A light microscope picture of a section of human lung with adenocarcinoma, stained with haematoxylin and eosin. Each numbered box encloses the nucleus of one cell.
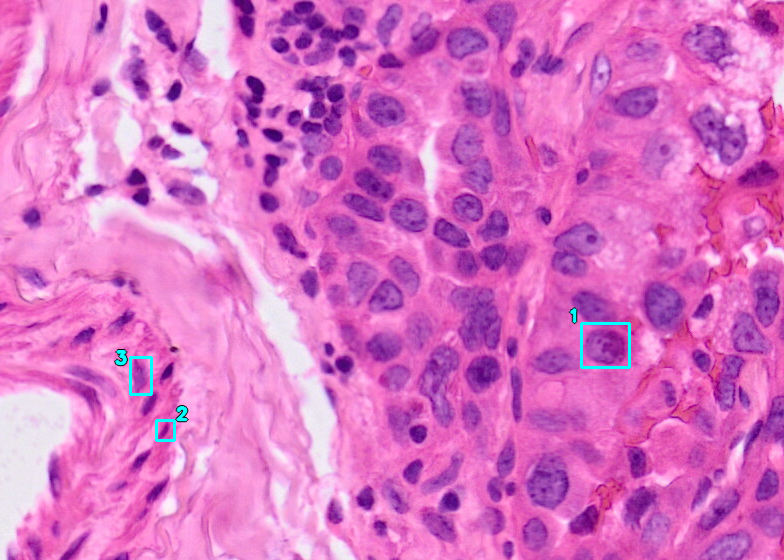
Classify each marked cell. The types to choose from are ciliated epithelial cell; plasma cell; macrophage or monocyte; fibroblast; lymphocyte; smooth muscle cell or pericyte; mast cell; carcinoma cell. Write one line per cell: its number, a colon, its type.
1: carcinoma cell
2: smooth muscle cell or pericyte
3: smooth muscle cell or pericyte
